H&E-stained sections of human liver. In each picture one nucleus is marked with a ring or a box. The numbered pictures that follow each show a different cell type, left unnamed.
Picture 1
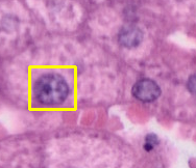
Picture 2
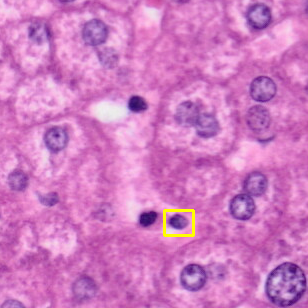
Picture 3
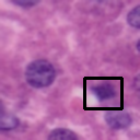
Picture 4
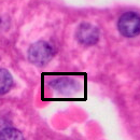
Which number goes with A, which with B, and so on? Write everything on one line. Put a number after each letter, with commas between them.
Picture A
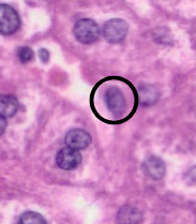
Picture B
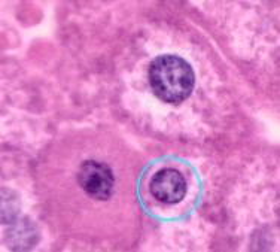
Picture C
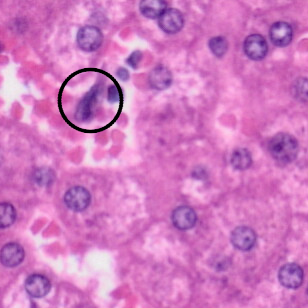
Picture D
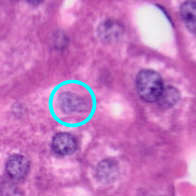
A 4, B 1, C 4, D 4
